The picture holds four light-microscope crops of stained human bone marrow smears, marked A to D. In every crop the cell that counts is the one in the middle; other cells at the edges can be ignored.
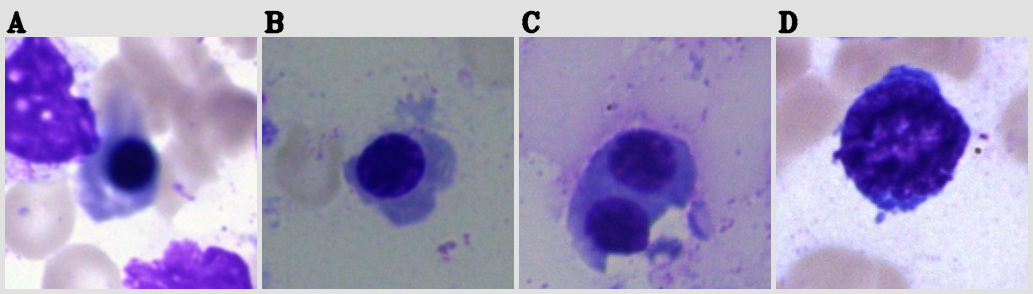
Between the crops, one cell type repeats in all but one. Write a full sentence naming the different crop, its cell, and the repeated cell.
Apart from crop D, a blast, the crops all show erythroblasts.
